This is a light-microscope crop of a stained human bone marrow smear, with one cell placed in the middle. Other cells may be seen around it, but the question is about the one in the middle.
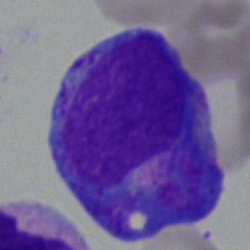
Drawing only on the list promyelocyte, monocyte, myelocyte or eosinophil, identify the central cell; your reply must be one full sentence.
Centrally within this crop lies a promyelocyte.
